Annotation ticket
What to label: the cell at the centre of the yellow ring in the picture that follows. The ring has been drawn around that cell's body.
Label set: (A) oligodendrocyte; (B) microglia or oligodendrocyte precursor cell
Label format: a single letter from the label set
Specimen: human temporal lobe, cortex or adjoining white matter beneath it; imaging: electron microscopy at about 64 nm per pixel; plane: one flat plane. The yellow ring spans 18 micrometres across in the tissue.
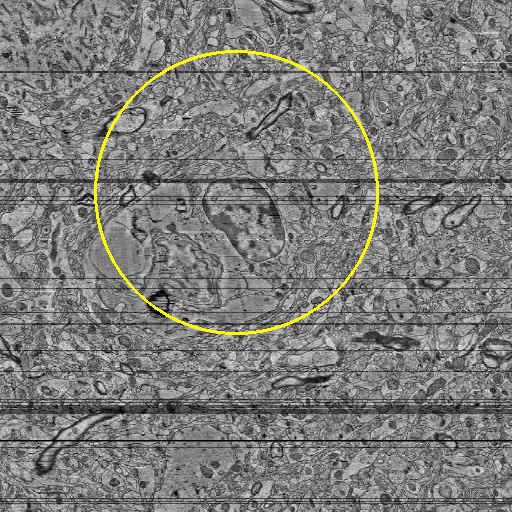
B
